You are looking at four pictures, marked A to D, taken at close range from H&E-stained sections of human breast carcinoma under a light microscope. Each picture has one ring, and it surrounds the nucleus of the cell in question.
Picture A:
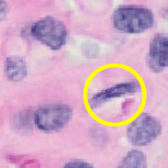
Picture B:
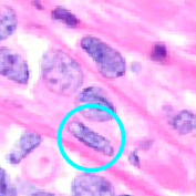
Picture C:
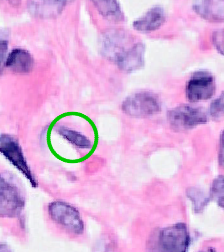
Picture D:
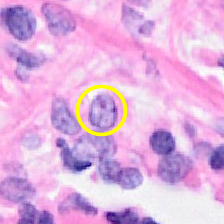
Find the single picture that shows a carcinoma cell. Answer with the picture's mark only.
D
